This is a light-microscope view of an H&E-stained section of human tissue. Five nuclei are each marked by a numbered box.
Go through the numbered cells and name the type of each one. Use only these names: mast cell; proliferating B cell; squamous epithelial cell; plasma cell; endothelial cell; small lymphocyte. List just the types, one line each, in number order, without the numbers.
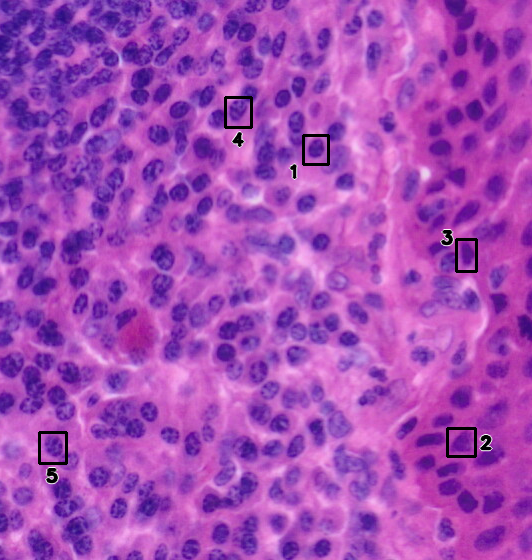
plasma cell
squamous epithelial cell
squamous epithelial cell
plasma cell
plasma cell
